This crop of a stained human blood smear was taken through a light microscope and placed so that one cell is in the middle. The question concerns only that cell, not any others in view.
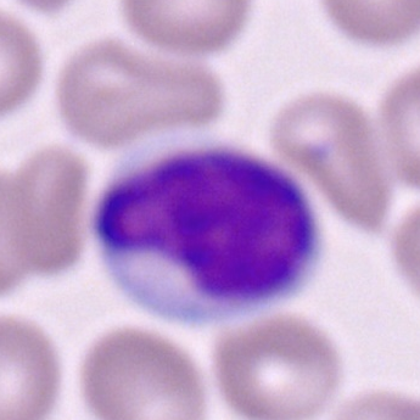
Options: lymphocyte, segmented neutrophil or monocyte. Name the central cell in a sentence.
The crop shows a lymphocyte in its centre.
